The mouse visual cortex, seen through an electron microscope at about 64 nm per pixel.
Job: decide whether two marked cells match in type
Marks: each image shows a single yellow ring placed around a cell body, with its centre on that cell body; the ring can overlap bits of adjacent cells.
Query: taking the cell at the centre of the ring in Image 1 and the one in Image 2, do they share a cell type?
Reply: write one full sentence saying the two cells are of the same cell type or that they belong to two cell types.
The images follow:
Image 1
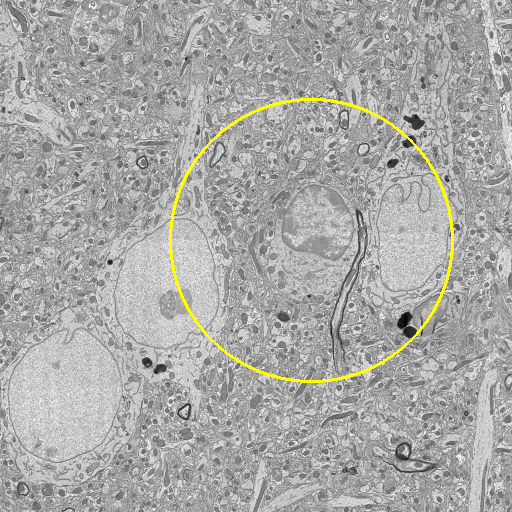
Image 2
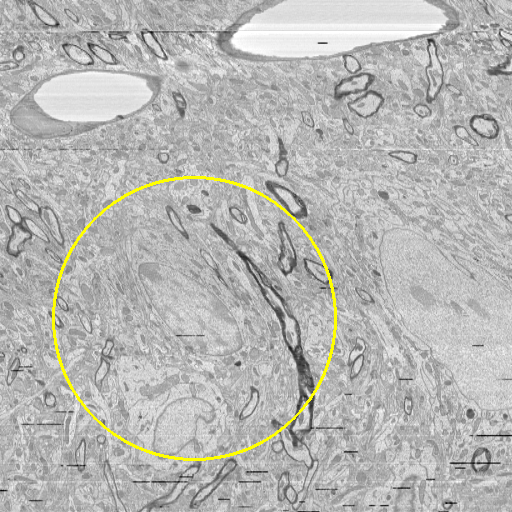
The cells at the ring centres in Image 1 and Image 2 are of the same cell type.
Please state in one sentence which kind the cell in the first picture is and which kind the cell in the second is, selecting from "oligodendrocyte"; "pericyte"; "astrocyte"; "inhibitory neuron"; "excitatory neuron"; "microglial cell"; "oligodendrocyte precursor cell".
Each cell at the centre of a ring is an oligodendrocyte.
